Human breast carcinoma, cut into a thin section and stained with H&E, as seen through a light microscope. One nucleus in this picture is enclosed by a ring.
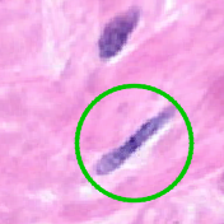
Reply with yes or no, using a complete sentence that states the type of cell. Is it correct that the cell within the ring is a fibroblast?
Yes, what the cell within the ring represents in this tissue is a fibroblast.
